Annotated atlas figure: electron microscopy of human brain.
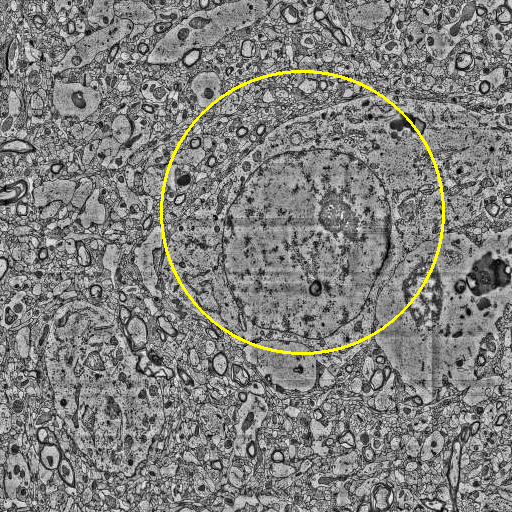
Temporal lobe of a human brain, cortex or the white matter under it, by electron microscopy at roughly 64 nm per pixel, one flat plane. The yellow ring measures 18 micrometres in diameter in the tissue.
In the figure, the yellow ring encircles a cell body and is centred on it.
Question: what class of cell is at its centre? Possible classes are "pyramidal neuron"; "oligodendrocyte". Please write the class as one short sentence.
The yellow ring is drawn around a pyramidal neuron.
